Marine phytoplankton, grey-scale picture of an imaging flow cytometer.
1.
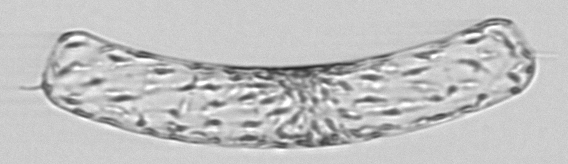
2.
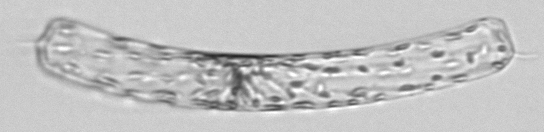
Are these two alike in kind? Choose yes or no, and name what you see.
Yes. Guinardia.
